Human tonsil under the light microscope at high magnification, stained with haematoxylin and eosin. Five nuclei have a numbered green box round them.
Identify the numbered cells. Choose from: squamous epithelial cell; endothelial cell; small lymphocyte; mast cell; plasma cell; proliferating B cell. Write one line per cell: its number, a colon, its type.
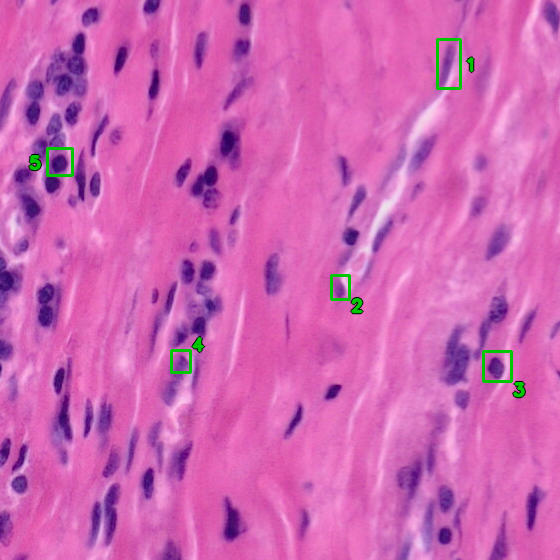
1: endothelial cell
2: endothelial cell
3: mast cell
4: endothelial cell
5: plasma cell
